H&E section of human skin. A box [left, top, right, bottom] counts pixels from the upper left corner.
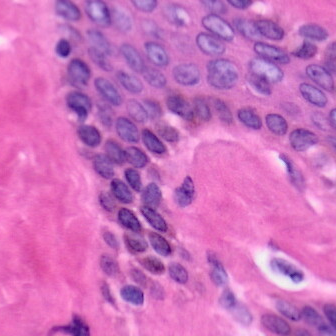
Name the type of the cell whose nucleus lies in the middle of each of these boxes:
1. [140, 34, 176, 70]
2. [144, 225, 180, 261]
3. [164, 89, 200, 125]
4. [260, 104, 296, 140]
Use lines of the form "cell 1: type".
cell 1: suprabasal keratinocyte
cell 2: basal keratinocyte
cell 3: basal keratinocyte
cell 4: basal keratinocyte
